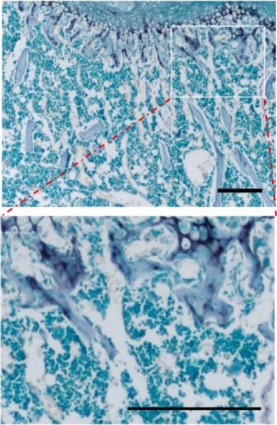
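A band of cartilage runs across the top, and thin pale trabeculae of bone hang down from it into the marrow cavity. The marrow spaces between them are packed with small, densely crowded cells. A dark purple stain gathers along the surfaces of the trabeculae, where the osteoblasts lie.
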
